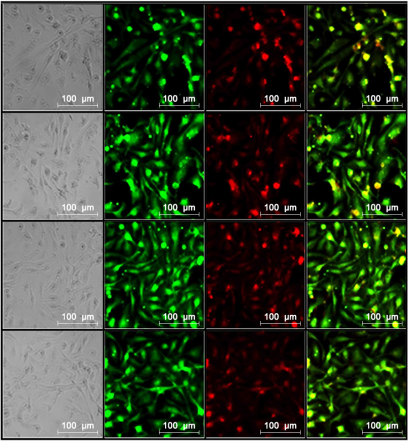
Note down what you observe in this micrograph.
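In the grey images, the cells are spread flat and loosely scattered, and they are elongated, spindle-shaped or polygonal, some with tapering processes. In the green channel, the cell bodies and their extensions are filled with green, which outlines the same spindle and polygonal shapes. The red channel shows smaller, patchier red spots that lie within some of the cells. In the overlay, the places where red meets green appear yellow to orange, and these lie within the green cell bodies.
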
